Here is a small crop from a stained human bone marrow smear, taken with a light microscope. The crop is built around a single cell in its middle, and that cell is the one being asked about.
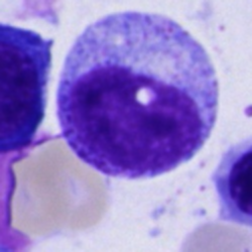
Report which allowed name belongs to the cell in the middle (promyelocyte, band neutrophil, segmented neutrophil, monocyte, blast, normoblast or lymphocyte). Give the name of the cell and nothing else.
promyelocyte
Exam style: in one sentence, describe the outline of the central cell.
A smooth, projection-free outline is what this cell has.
